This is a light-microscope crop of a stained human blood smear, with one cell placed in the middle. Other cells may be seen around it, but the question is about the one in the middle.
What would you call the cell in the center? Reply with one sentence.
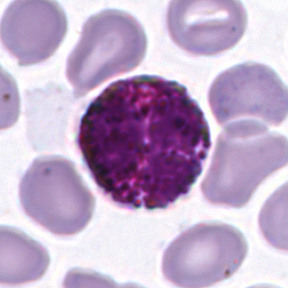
Here the cell in the middle is a basophil.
